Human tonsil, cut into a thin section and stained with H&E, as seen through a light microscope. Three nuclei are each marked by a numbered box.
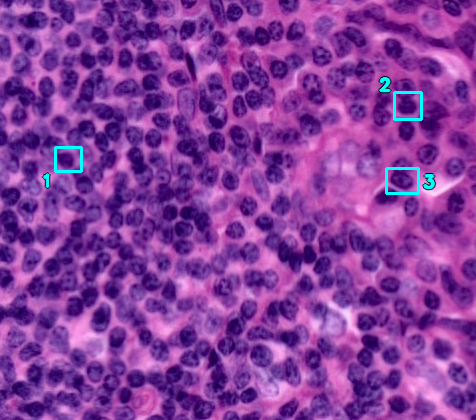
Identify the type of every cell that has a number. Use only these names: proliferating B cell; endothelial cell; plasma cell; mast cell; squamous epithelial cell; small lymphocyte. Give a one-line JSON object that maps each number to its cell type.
{"1": "small lymphocyte", "2": "plasma cell", "3": "plasma cell"}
